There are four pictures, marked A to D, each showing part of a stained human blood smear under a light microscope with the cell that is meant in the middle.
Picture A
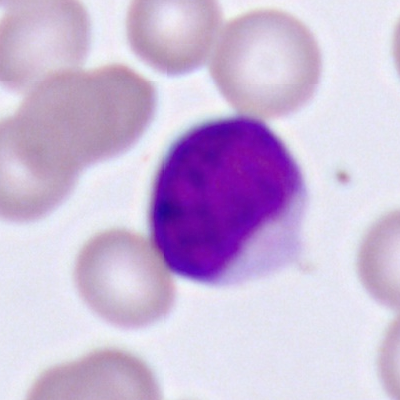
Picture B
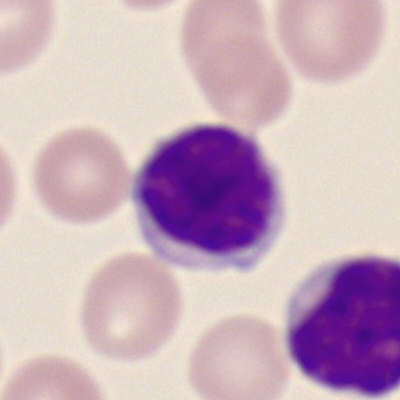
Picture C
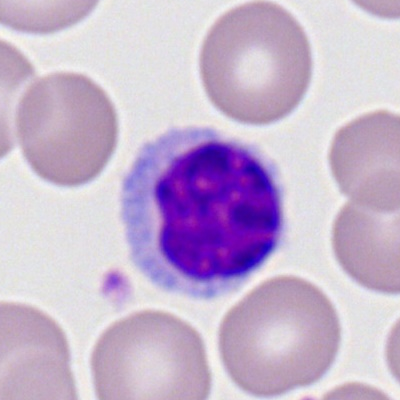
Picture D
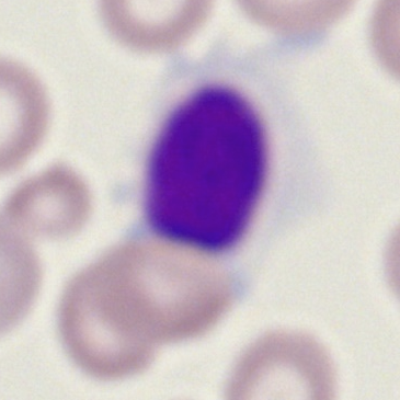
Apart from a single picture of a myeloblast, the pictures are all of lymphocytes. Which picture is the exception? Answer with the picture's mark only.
A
